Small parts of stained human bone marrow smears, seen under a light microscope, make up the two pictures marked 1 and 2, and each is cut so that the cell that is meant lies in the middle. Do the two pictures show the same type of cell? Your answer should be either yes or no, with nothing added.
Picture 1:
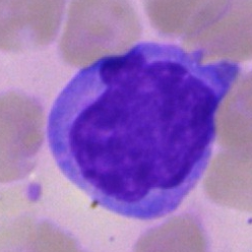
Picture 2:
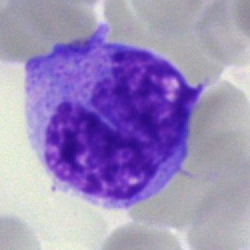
yes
